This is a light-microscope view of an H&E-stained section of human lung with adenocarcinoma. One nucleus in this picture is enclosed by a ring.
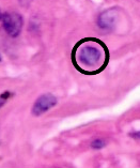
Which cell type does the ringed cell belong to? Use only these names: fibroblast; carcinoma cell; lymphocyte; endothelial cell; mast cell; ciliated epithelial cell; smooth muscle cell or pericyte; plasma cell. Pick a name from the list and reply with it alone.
mast cell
